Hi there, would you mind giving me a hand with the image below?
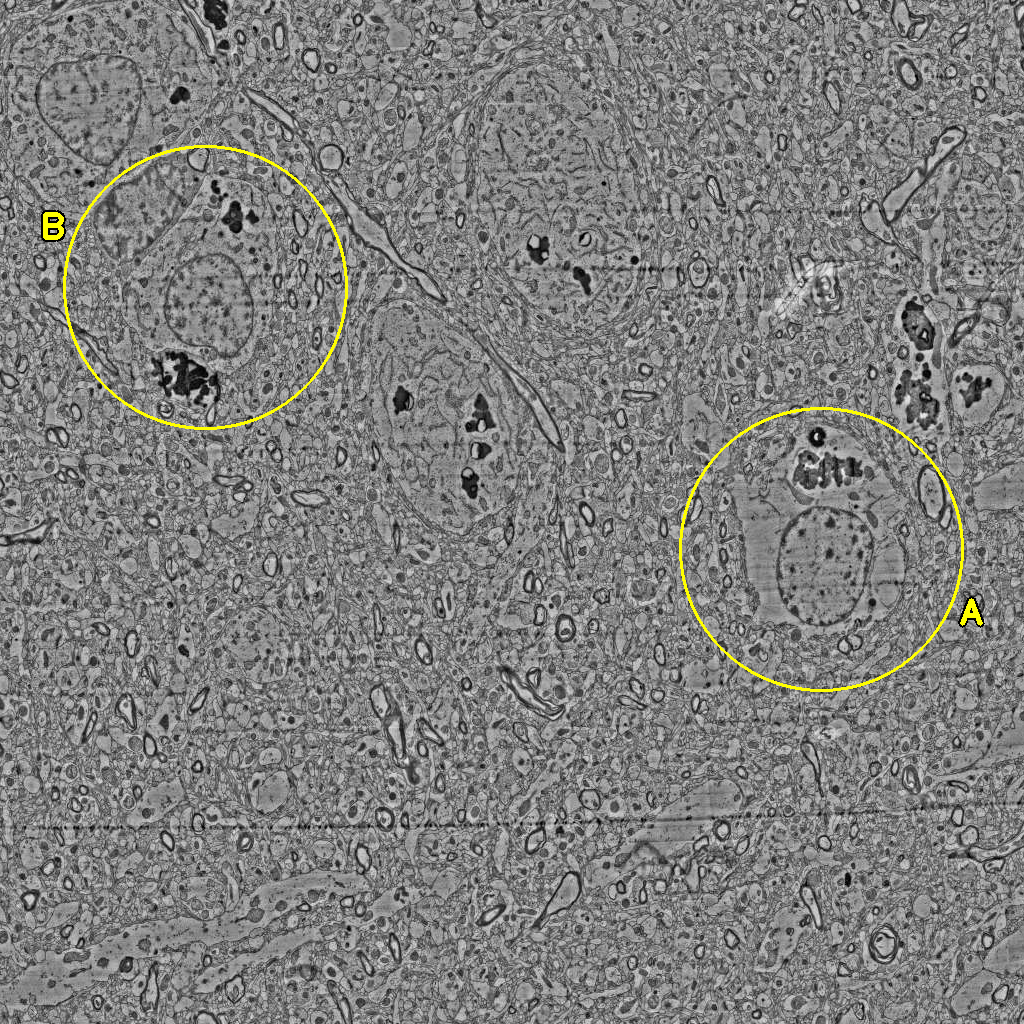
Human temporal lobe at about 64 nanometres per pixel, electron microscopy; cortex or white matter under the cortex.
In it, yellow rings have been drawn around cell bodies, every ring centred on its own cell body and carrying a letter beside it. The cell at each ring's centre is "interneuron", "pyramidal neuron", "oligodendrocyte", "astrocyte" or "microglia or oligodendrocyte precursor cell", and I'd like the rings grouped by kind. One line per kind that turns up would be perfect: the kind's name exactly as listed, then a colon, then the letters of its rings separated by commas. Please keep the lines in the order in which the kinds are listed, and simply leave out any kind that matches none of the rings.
pyramidal neuron: B
astrocyte: A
